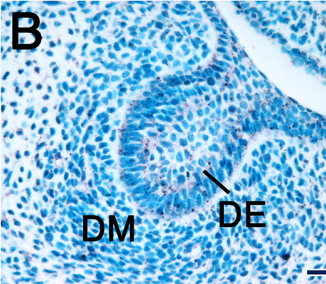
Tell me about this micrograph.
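A tooth germ in which the dental epithelium forms a rounded bud pushing down into the surrounding dental mesenchyme. The epithelial cells of the bud are columnar to polygonal with elongated blue nuclei arranged in a compact layer, while the mesenchymal cells around it are densely packed with small oval nuclei. Faint magenta dots lie within the epithelium.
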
